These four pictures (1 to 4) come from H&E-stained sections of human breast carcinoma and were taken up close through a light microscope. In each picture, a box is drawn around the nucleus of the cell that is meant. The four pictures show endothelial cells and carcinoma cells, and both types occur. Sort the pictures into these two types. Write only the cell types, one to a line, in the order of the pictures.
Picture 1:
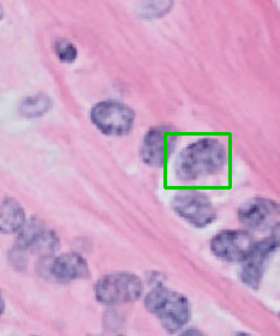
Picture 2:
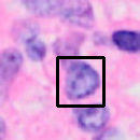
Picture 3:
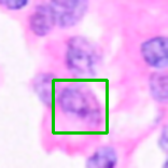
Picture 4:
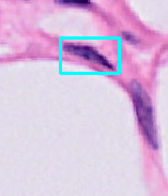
carcinoma cell
carcinoma cell
carcinoma cell
endothelial cell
